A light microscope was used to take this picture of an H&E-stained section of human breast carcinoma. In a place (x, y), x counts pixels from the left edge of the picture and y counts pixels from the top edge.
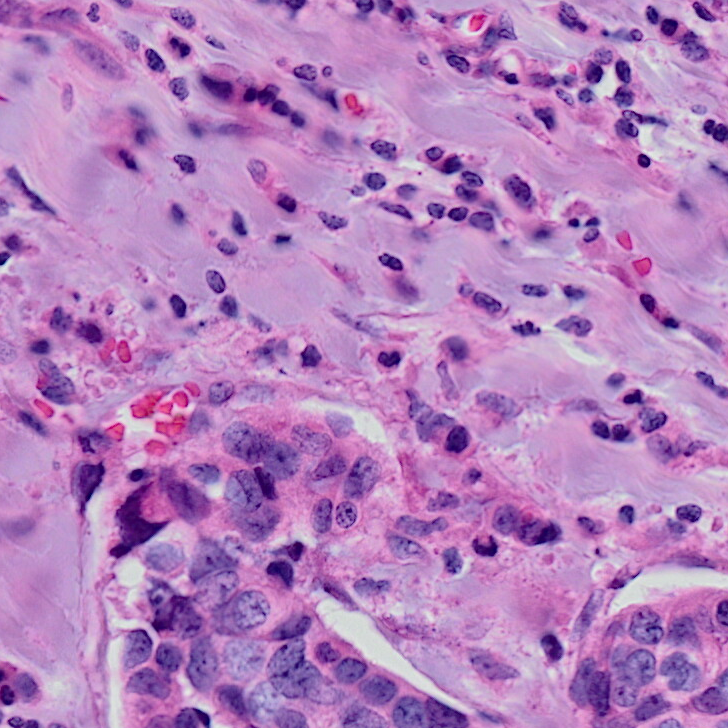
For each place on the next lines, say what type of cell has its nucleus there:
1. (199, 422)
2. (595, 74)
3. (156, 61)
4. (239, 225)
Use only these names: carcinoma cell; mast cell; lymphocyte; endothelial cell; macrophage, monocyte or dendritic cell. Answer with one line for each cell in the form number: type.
1: endothelial cell
2: lymphocyte
3: lymphocyte
4: lymphocyte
